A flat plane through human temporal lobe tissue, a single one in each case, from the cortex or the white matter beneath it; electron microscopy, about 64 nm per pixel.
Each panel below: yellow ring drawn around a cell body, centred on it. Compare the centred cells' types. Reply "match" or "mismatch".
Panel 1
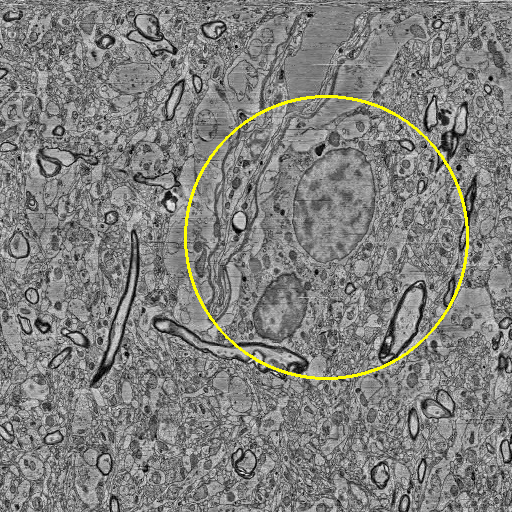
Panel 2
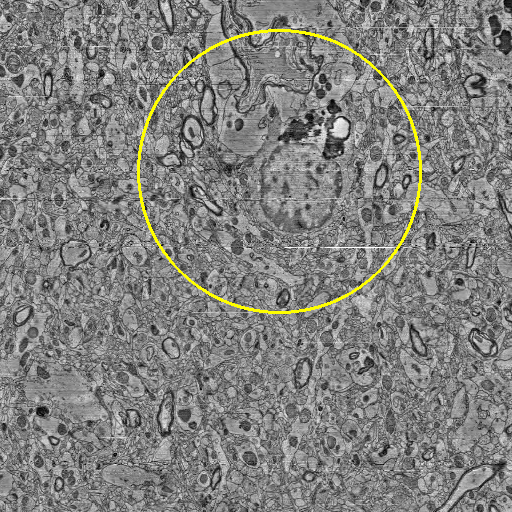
match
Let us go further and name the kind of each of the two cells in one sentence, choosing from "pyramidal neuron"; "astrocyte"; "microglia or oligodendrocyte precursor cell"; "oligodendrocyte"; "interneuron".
In both pictures the ring is centred on an oligodendrocyte.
